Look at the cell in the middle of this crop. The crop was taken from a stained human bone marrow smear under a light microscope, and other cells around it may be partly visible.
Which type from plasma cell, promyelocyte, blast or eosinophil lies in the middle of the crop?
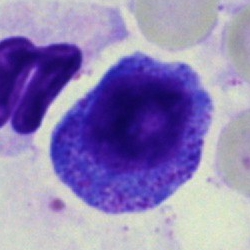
promyelocyte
